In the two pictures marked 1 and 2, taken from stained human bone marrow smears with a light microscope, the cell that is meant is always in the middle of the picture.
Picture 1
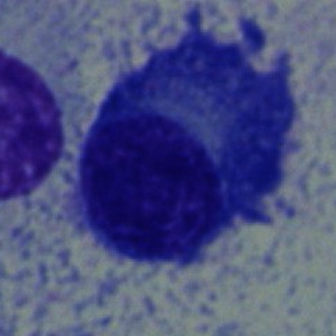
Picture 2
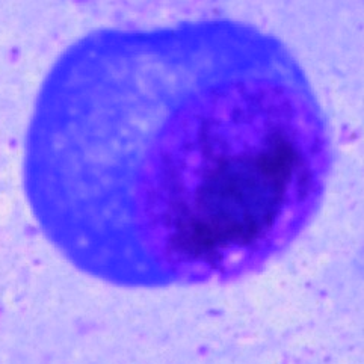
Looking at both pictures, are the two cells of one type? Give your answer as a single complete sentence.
Yes, both cells are plasma cells.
